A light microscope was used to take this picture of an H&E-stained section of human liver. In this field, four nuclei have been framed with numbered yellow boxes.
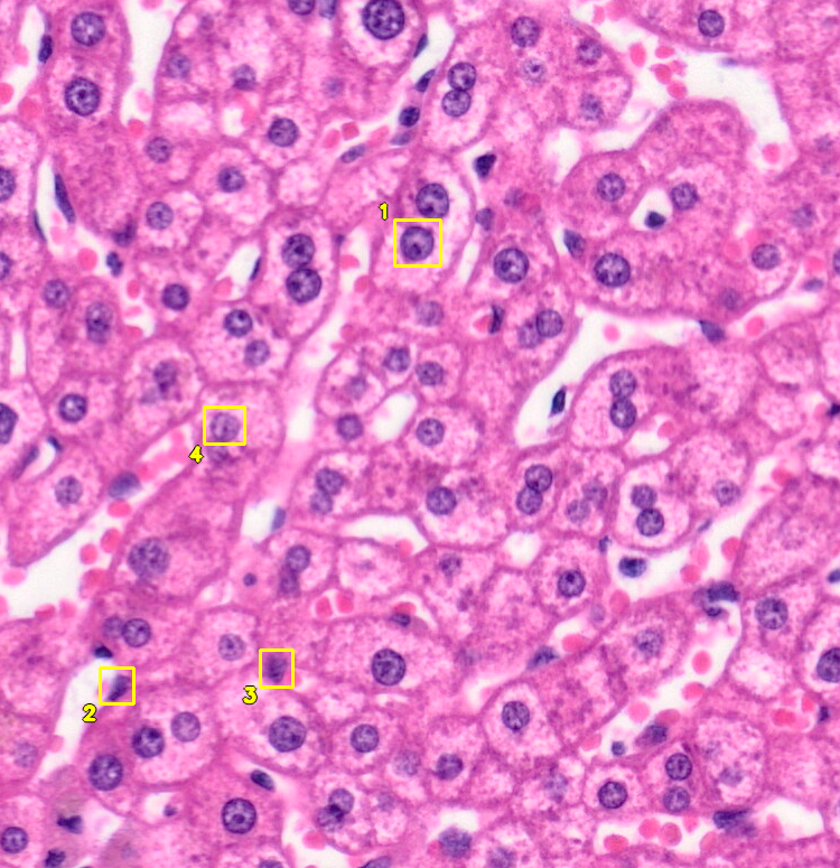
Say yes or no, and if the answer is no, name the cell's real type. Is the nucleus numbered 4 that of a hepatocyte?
Yes.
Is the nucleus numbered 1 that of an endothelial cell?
No, it is a hepatocyte.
